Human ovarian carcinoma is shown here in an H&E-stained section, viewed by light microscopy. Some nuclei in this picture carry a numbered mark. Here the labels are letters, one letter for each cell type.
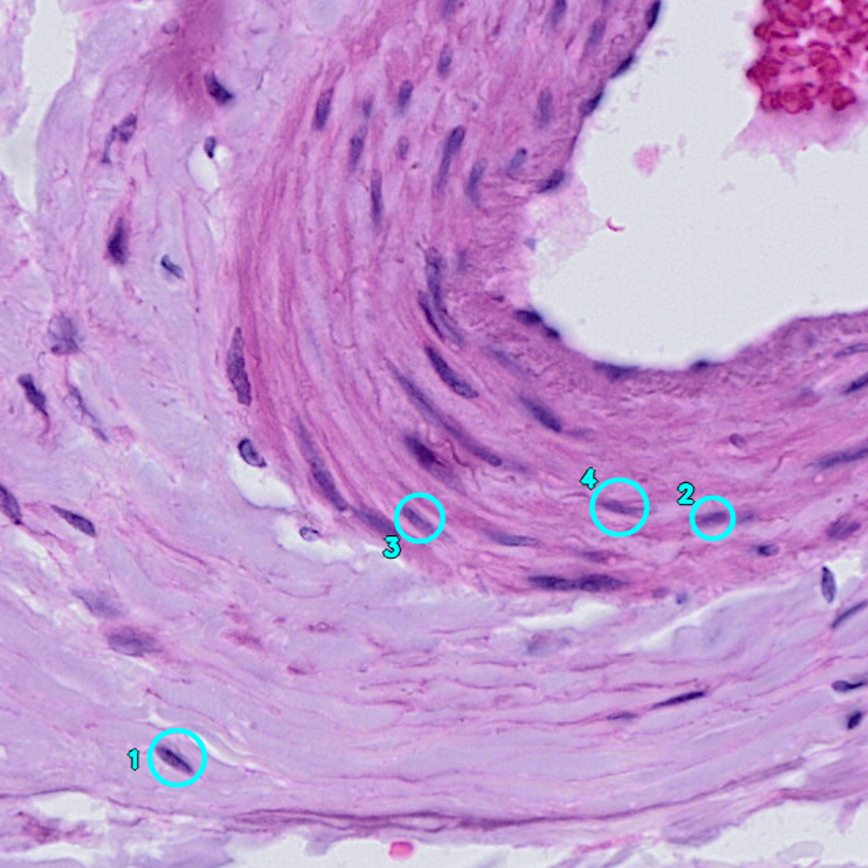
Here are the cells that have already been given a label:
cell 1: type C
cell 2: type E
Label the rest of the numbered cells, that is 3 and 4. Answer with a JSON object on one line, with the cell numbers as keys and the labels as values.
{"3": "type E", "4": "type E"}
